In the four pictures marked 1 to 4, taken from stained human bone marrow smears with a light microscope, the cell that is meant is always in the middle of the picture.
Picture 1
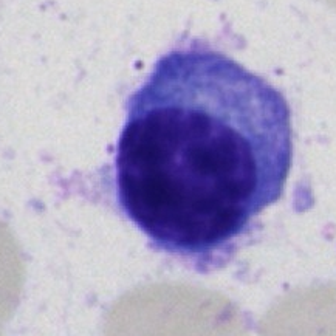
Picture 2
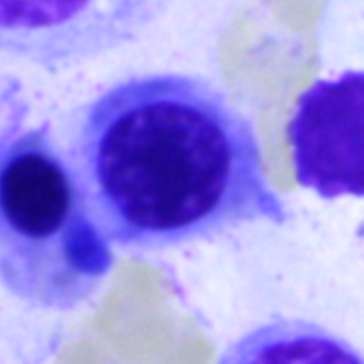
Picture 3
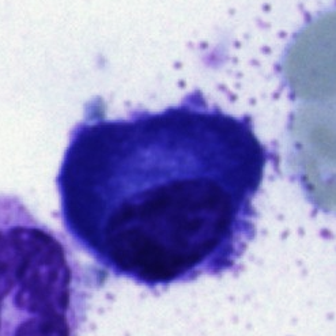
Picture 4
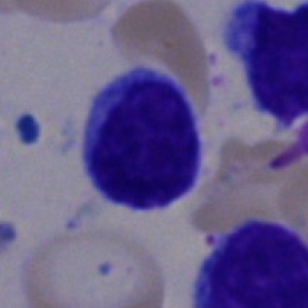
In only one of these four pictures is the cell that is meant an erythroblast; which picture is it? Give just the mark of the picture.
2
